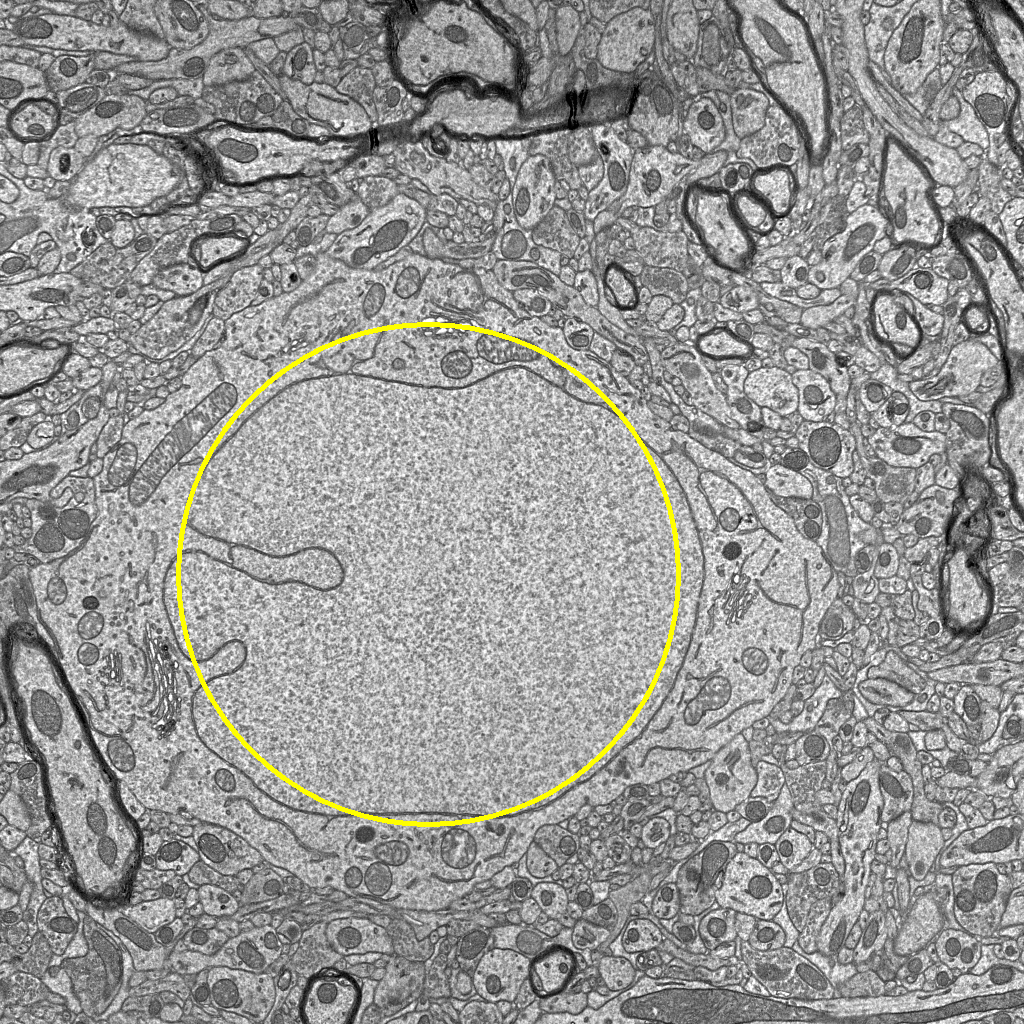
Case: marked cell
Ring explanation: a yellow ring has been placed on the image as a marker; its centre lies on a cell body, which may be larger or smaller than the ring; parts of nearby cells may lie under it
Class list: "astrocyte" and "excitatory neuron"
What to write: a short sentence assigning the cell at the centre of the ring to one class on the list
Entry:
The cell at the ring's centre is an excitatory neuron.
